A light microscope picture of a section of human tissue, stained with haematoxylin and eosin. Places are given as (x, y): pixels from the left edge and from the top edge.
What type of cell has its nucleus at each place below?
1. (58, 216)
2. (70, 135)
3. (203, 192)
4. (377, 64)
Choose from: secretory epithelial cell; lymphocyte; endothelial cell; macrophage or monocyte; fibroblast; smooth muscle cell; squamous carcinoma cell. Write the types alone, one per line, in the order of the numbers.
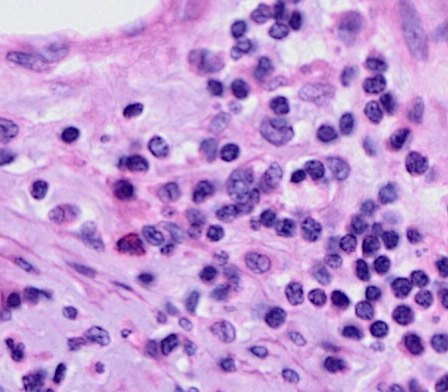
macrophage or monocyte
lymphocyte
lymphocyte
lymphocyte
